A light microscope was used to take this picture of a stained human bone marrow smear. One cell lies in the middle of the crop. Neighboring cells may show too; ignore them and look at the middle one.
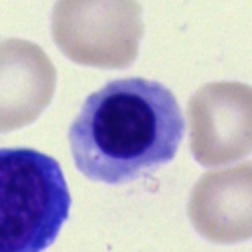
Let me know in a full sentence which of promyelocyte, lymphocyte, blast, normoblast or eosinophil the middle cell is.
The centrally positioned cell in the crop represents a normoblast.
